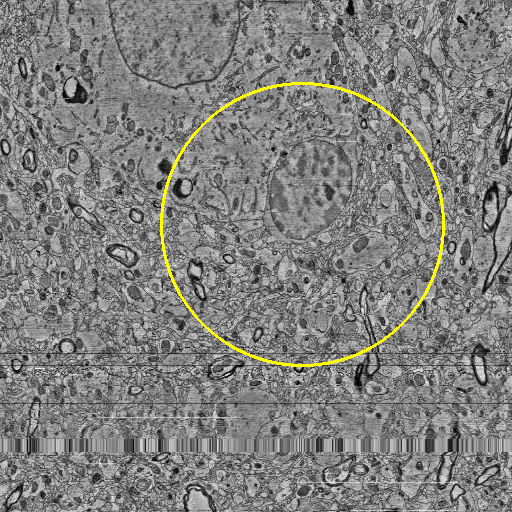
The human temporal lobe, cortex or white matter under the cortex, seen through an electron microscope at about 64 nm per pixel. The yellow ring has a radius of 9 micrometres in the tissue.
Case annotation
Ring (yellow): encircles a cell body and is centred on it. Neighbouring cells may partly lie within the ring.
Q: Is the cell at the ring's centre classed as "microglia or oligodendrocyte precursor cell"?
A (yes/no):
no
